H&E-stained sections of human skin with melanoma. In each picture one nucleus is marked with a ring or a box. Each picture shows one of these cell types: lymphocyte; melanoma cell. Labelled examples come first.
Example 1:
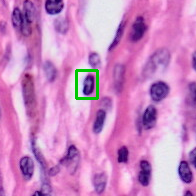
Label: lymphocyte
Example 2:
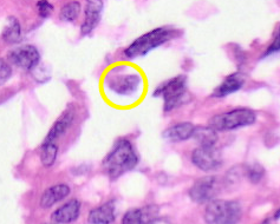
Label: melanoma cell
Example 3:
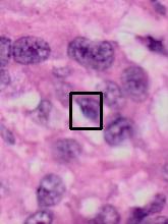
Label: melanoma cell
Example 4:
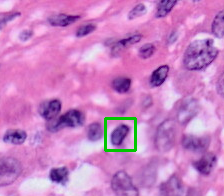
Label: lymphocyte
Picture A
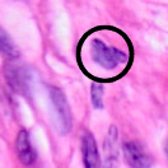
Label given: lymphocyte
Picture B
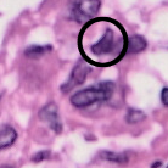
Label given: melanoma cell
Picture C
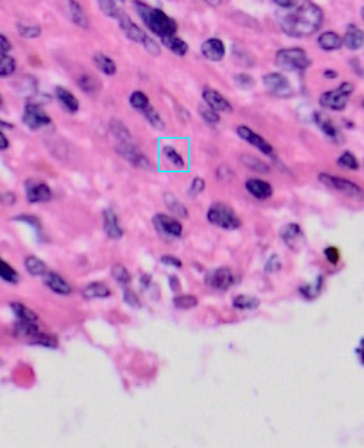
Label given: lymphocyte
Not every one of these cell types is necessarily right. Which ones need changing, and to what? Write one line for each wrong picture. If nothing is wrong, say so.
Every label is right.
